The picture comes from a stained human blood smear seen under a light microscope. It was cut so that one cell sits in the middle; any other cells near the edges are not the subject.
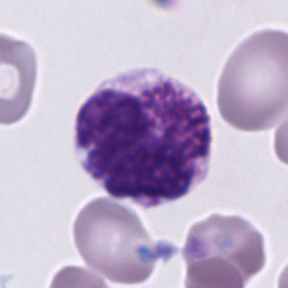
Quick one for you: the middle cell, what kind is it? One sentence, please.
In this crop, the cell at the very middle is a basophil.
